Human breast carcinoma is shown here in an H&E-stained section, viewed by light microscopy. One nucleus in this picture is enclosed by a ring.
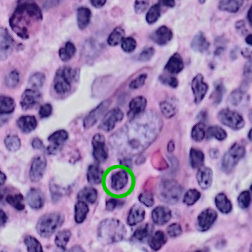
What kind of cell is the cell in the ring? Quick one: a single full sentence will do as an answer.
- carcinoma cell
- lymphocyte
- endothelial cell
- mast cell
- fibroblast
Within the stained tissue, the cell in the ring is a lymphocyte.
